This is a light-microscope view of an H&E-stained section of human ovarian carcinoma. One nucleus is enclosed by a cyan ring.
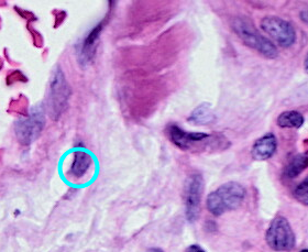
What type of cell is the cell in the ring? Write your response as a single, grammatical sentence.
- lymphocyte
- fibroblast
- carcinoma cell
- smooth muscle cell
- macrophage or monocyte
In terms of identity, the cell in the ring is a macrophage or monocyte.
